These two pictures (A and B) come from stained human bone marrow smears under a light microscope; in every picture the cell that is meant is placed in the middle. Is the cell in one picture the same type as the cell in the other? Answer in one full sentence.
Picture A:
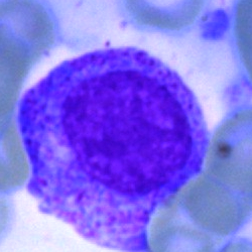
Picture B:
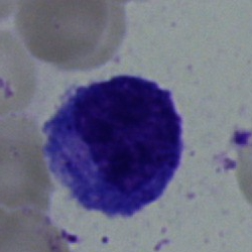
Yes, both are promyelocytes.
